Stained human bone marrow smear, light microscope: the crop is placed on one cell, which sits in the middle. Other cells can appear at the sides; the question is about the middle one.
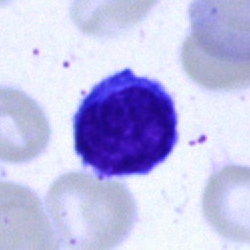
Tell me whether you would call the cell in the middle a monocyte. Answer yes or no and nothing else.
no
